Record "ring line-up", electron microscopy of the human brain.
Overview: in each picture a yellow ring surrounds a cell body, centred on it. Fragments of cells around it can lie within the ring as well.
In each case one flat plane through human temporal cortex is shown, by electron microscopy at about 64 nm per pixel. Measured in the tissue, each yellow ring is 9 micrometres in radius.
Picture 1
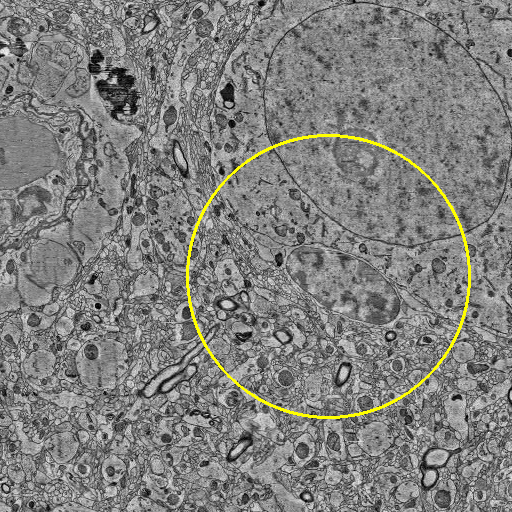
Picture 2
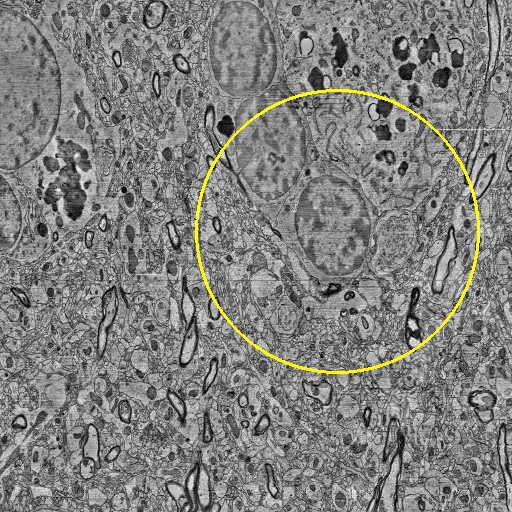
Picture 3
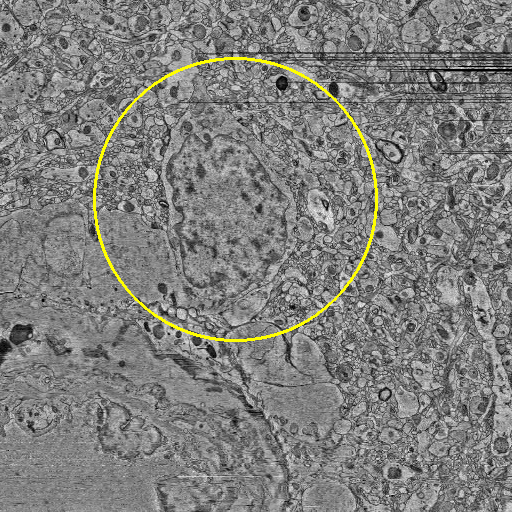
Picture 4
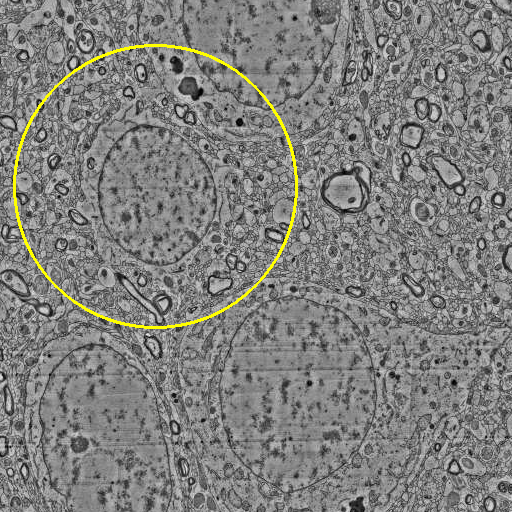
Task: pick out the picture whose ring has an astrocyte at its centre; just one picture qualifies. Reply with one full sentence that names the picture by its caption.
Going by the cell at the ring's centre, the right choice is Picture 4.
